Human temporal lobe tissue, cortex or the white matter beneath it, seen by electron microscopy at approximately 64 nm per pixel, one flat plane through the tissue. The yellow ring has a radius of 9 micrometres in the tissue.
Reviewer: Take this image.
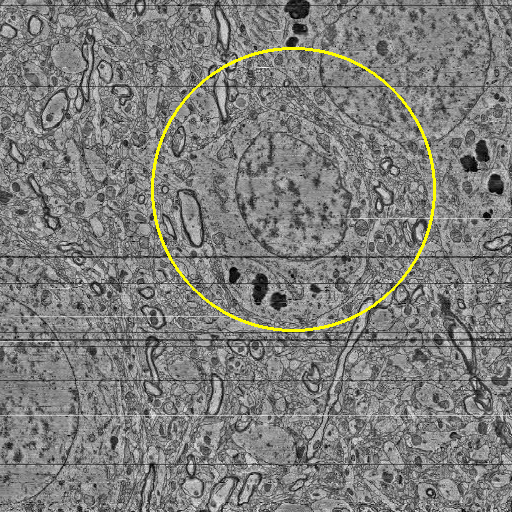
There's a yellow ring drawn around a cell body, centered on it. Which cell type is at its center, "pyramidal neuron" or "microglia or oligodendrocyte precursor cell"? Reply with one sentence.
At the center of the yellow ring is a pyramidal neuron.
